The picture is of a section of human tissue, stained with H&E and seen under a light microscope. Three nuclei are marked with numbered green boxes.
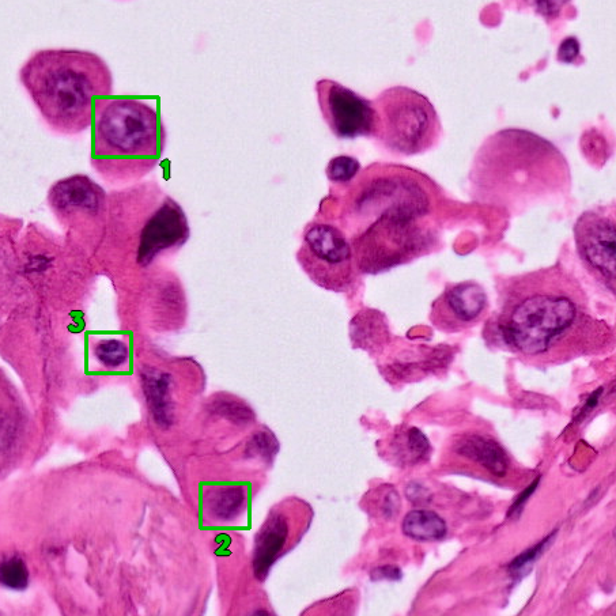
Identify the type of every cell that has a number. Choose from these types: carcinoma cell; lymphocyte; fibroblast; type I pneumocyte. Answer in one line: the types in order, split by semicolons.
carcinoma cell; carcinoma cell; lymphocyte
